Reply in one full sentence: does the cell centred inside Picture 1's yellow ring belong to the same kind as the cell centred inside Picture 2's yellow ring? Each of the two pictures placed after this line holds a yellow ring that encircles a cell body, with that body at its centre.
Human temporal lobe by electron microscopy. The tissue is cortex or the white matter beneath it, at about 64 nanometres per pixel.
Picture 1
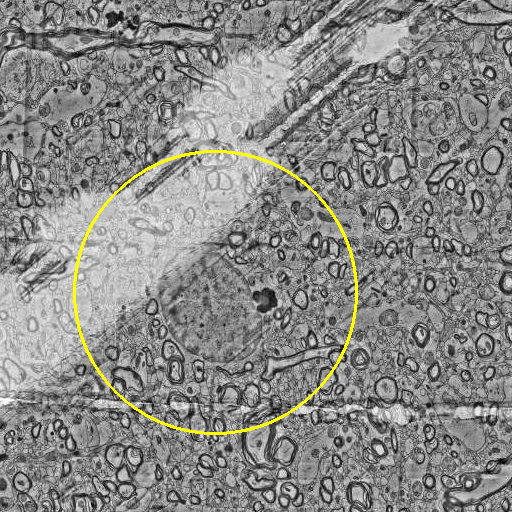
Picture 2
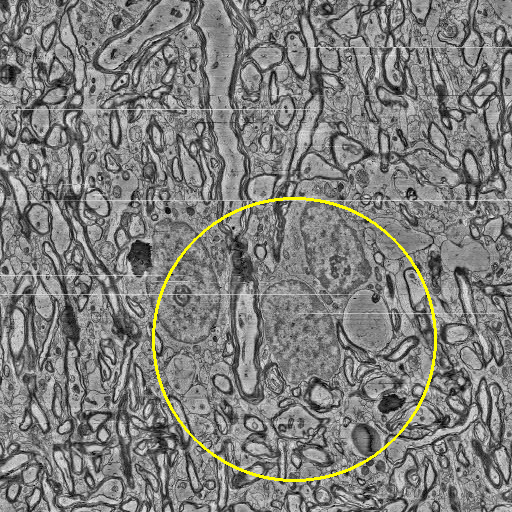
Yes, the ring-centred cells in Picture 1 and Picture 2 are of one and the same kind.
